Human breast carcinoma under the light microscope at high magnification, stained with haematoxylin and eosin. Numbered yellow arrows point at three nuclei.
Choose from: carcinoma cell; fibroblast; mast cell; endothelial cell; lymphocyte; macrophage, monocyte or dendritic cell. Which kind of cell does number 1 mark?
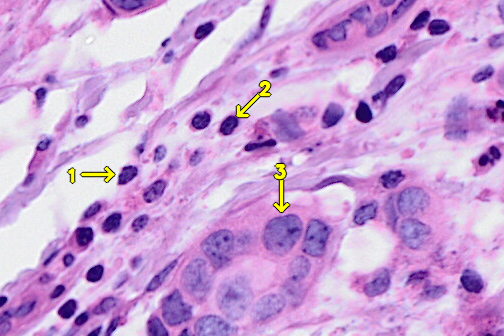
lymphocyte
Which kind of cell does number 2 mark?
lymphocyte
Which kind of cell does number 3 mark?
carcinoma cell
